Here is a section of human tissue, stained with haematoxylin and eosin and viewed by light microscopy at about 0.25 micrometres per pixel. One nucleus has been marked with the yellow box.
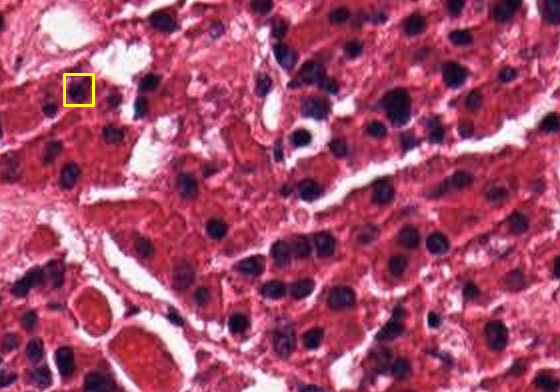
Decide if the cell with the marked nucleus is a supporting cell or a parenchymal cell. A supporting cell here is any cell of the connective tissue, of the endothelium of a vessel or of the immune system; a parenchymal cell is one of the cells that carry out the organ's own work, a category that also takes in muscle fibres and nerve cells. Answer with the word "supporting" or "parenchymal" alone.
parenchymal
